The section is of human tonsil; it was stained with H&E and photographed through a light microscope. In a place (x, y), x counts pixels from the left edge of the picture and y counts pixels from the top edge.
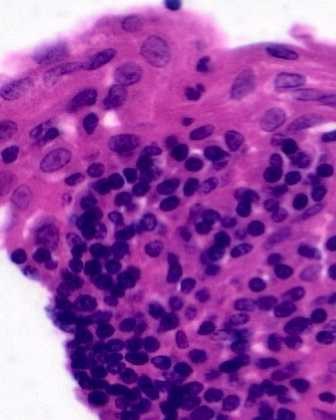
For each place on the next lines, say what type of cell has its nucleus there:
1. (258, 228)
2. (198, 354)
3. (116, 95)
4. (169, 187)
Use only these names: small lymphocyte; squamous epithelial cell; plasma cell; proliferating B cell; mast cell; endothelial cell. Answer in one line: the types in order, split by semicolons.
plasma cell; plasma cell; squamous epithelial cell; plasma cell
